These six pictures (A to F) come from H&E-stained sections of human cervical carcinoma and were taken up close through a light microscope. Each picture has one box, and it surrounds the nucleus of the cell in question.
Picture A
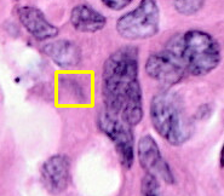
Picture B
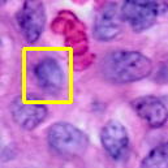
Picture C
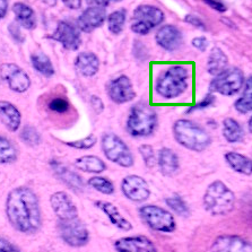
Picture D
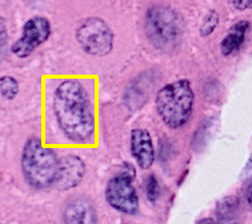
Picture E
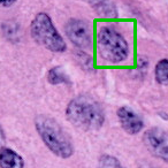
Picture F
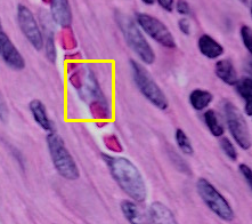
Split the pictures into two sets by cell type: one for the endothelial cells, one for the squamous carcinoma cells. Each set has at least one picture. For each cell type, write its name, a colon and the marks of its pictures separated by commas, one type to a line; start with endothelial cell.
endothelial cell: B, F
squamous carcinoma cell: A, C, D, E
